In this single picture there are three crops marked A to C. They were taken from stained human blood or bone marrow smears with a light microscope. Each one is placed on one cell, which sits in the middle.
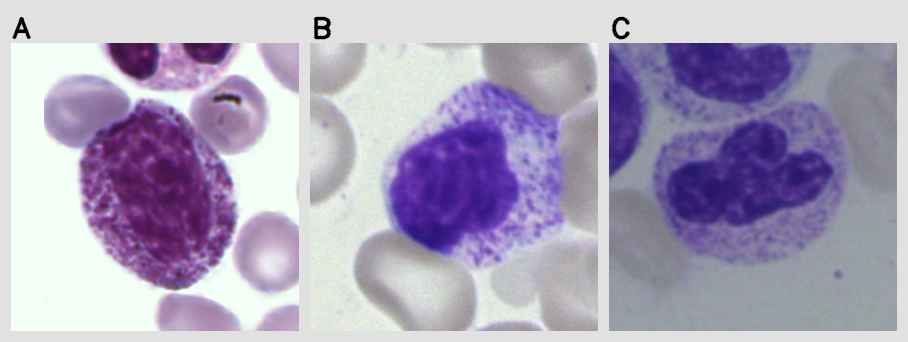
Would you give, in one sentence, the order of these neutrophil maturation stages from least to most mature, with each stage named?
The sequence of maturity, beginning with the least mature, runs crop B (a myelocyte), crop A (a metamyelocyte) and crop C (a band neutrophil).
